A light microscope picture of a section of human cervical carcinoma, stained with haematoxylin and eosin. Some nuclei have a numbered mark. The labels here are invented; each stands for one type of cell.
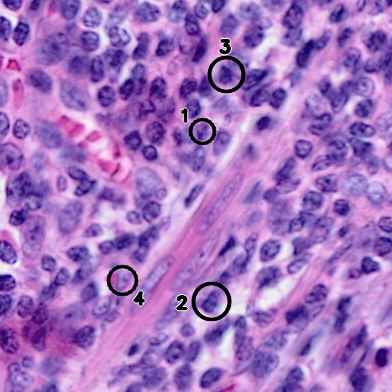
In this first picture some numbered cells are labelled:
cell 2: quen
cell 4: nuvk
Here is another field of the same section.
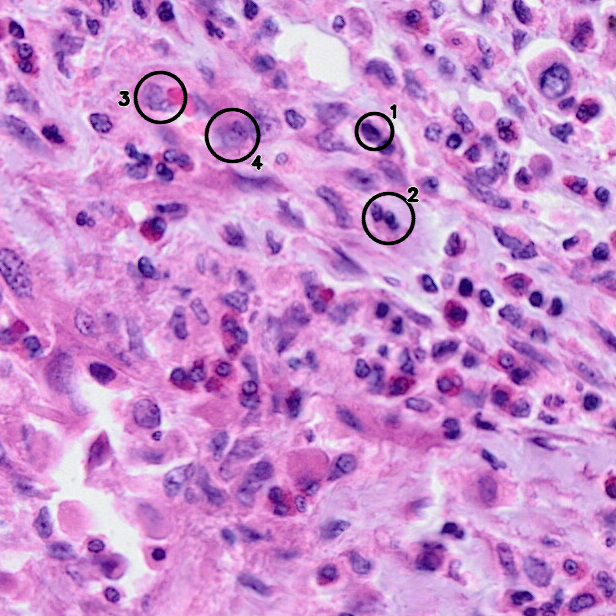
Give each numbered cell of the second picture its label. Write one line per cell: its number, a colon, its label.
1: quen
2: quen
3: nuvk
4: nuvk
